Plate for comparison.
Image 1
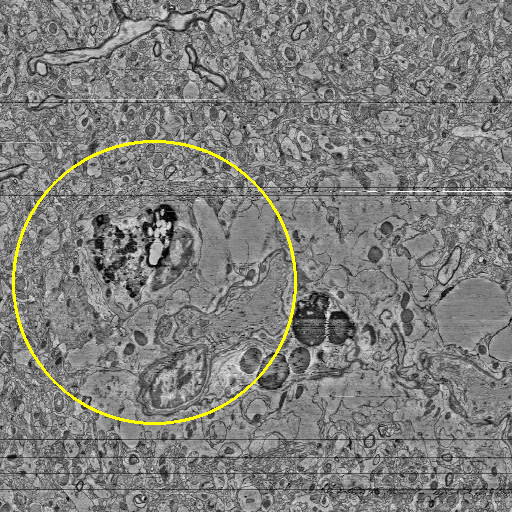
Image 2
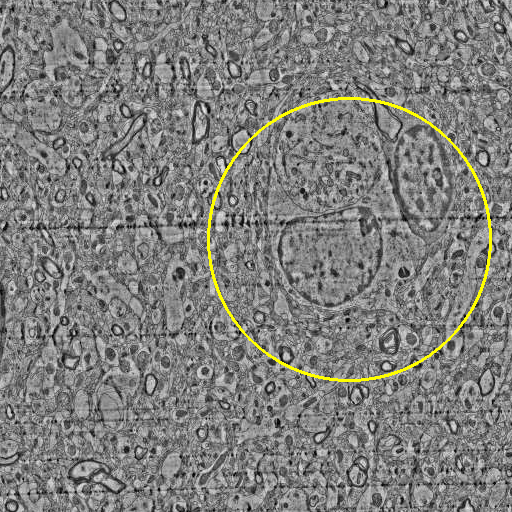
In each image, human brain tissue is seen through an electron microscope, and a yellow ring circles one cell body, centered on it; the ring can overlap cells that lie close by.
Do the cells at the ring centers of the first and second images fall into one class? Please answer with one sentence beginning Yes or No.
Yes, the first and second images show a single class of cell at the ring centers.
